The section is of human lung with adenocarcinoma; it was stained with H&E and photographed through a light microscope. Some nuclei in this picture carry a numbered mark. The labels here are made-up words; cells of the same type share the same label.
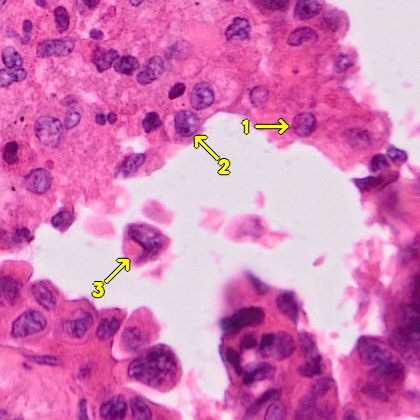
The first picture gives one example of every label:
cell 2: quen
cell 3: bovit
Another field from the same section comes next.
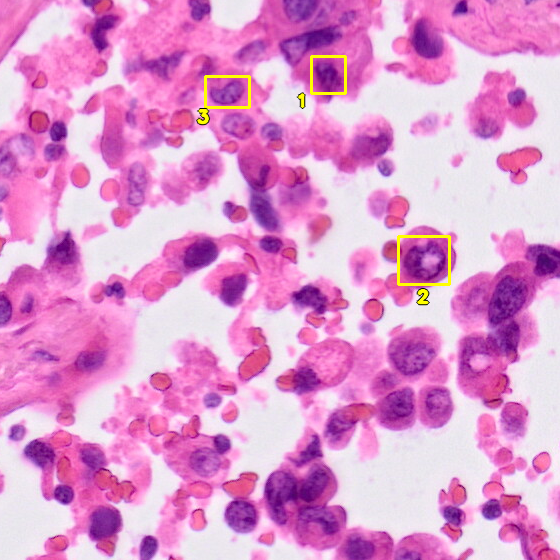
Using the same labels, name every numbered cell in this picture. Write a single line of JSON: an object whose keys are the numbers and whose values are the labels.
{"1": "bovit", "2": "bovit", "3": "quen"}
